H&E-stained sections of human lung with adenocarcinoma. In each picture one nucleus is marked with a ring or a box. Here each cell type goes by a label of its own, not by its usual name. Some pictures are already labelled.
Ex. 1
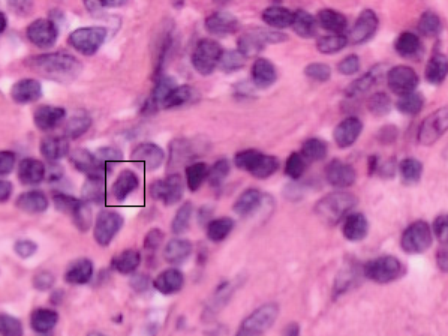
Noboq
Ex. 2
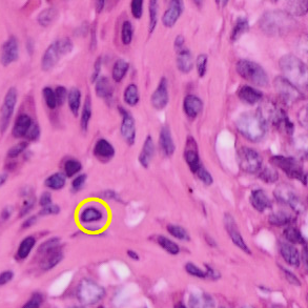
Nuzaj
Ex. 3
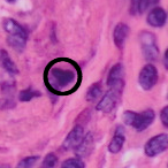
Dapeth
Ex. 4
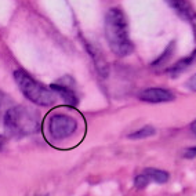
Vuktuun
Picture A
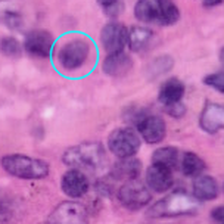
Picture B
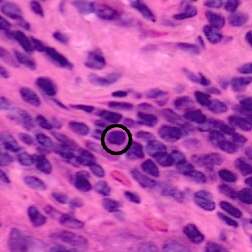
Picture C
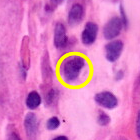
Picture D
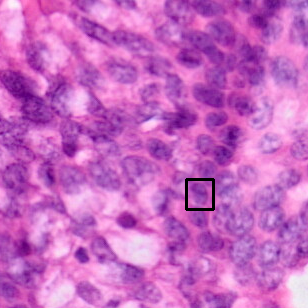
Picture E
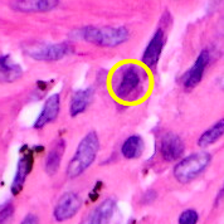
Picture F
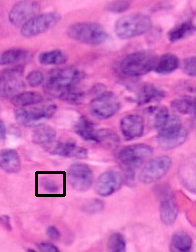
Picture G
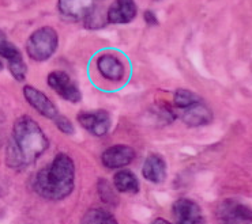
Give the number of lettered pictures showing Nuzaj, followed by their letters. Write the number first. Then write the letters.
2, namely F, G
